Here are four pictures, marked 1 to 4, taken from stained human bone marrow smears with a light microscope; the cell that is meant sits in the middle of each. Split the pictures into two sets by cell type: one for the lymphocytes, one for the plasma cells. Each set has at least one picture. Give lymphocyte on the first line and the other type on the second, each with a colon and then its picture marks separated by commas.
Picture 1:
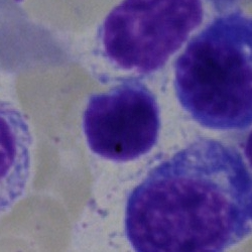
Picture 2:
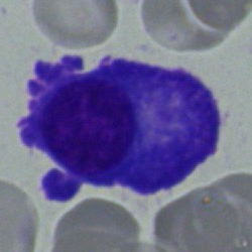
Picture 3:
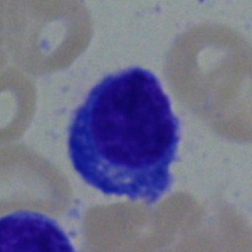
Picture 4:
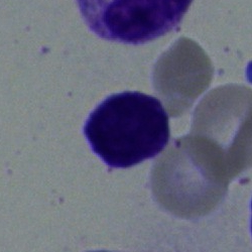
lymphocyte: 1, 4
plasma cell: 2, 3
